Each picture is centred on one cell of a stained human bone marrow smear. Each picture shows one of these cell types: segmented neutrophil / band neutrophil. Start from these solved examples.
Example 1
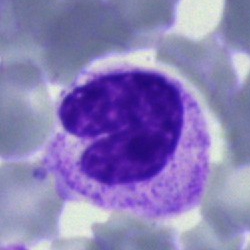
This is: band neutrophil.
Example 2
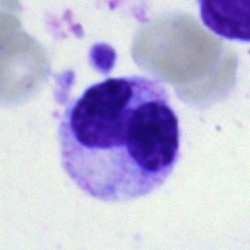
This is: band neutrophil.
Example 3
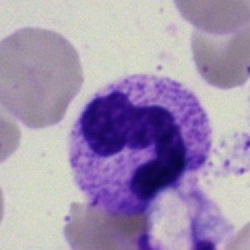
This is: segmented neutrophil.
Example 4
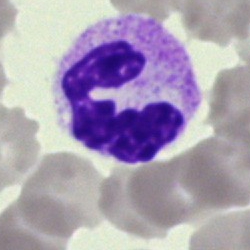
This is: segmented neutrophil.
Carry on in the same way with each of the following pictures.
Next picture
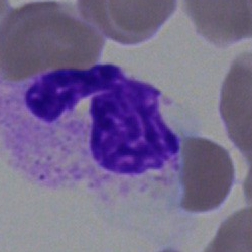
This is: segmented neutrophil.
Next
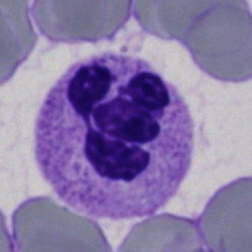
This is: segmented neutrophil.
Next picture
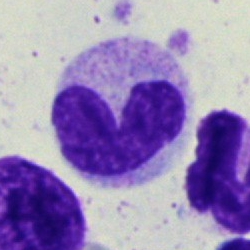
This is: band neutrophil.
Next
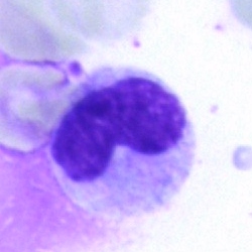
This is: band neutrophil.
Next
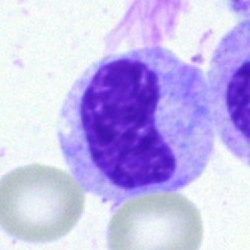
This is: band neutrophil.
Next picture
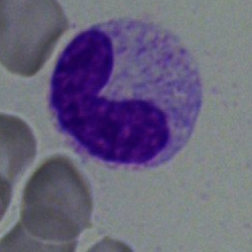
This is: band neutrophil.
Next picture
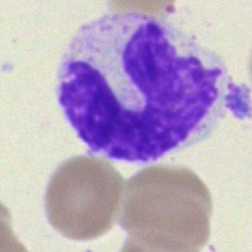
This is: band neutrophil.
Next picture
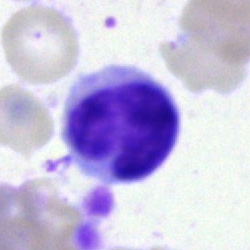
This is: band neutrophil.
